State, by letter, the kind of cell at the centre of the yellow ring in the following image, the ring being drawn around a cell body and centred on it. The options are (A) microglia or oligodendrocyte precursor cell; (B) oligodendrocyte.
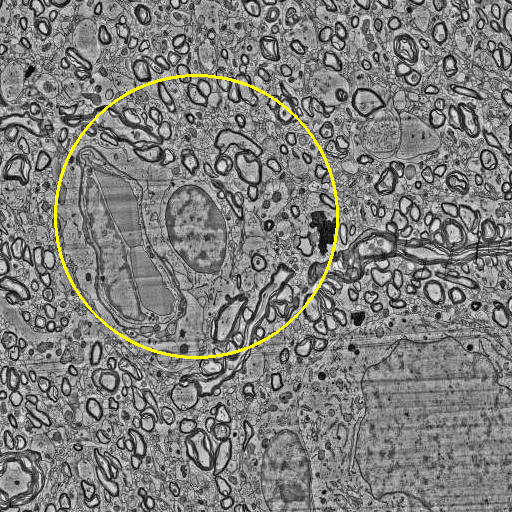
A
